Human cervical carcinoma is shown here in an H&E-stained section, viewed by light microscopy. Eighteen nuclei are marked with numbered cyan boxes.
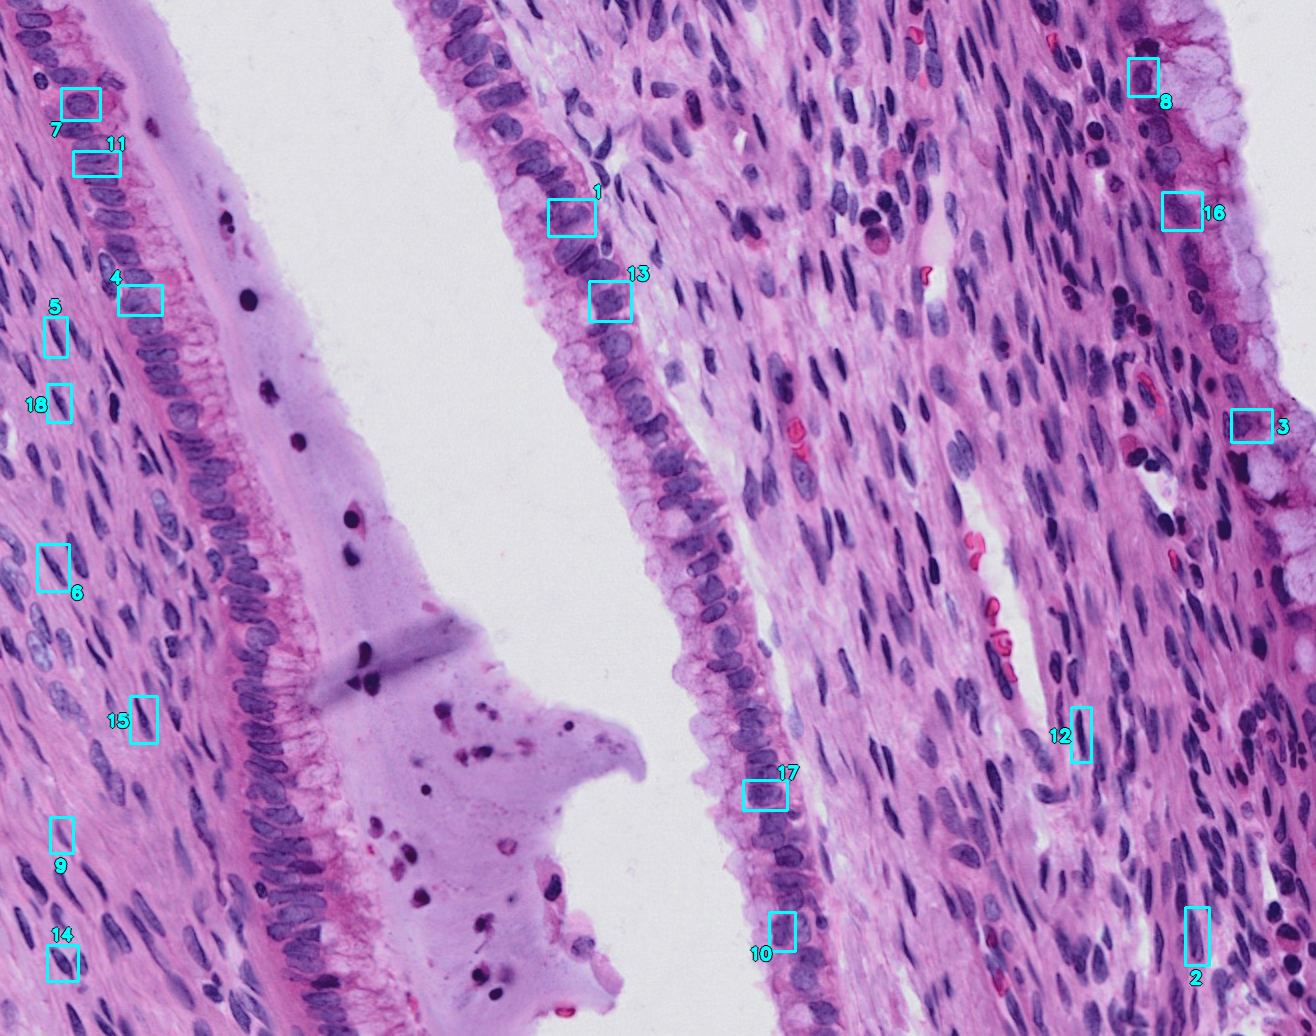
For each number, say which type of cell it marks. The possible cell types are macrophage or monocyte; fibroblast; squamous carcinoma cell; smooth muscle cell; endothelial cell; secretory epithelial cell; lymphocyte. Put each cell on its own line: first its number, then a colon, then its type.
1: secretory epithelial cell
2: fibroblast
3: secretory epithelial cell
4: secretory epithelial cell
5: fibroblast
6: fibroblast
7: secretory epithelial cell
8: secretory epithelial cell
9: fibroblast
10: secretory epithelial cell
11: secretory epithelial cell
12: fibroblast
13: secretory epithelial cell
14: fibroblast
15: fibroblast
16: secretory epithelial cell
17: secretory epithelial cell
18: fibroblast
